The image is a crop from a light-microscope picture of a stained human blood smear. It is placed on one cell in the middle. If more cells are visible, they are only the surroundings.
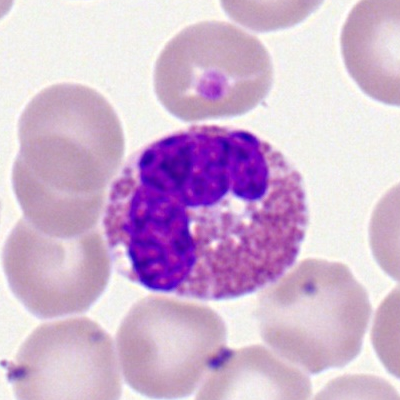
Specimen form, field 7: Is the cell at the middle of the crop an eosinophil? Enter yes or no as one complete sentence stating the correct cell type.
Yes, the cell right in the middle is an eosinophil.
